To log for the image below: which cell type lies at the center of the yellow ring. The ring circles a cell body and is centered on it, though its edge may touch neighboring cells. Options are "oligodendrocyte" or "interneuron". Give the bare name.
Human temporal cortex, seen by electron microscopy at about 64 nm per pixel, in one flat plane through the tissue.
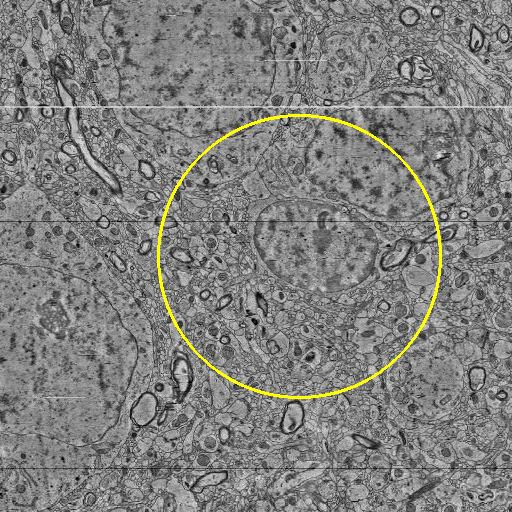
oligodendrocyte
